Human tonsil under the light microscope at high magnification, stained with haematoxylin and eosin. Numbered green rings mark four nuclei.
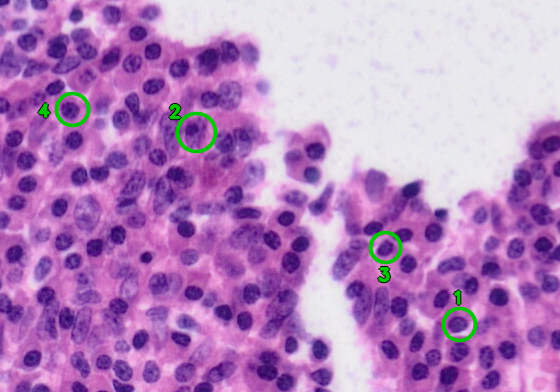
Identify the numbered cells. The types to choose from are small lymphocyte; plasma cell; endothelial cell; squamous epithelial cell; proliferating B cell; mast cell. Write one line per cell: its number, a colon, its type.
1: plasma cell
2: squamous epithelial cell
3: plasma cell
4: plasma cell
